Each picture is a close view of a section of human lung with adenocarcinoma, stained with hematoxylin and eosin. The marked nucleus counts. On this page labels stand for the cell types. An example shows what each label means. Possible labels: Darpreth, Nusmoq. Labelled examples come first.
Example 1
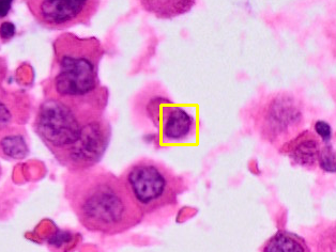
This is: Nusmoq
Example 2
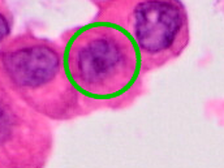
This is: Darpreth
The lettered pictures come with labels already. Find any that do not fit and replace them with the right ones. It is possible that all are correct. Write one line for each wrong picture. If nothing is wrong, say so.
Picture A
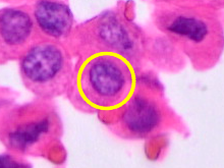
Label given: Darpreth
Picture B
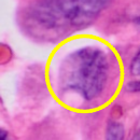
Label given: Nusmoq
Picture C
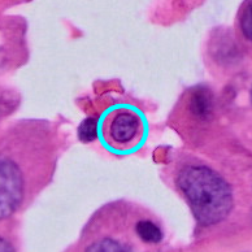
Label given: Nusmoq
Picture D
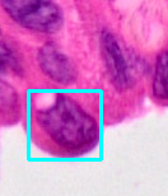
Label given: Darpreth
Wrong: B (Nusmoq); correct: Darpreth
